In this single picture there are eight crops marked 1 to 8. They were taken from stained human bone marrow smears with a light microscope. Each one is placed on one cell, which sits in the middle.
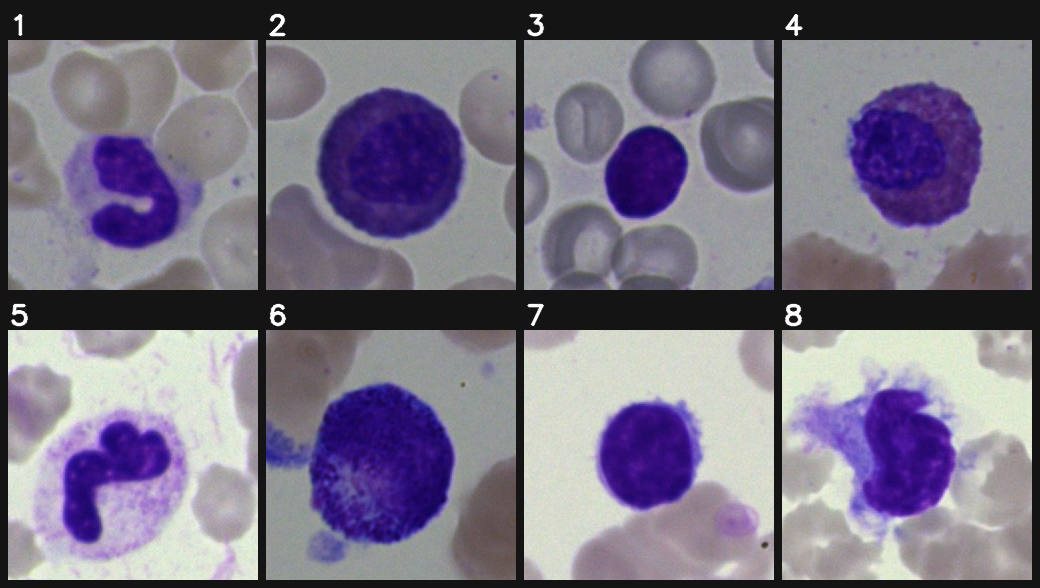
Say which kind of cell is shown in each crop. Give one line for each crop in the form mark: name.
1: band neutrophil
2: eosinophil
3: lymphocyte
4: eosinophil
5: segmented neutrophil
6: myelocyte
7: lymphocyte
8: hairy cell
